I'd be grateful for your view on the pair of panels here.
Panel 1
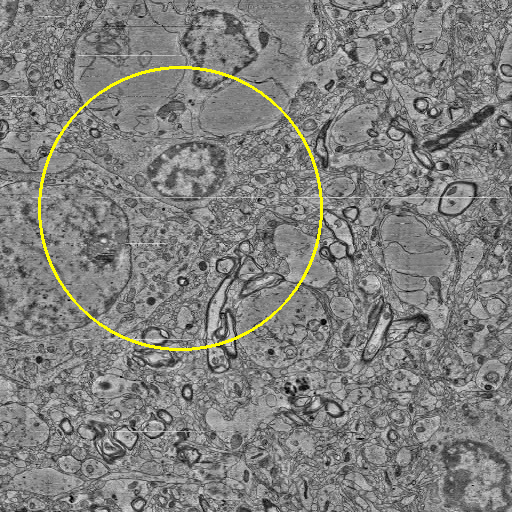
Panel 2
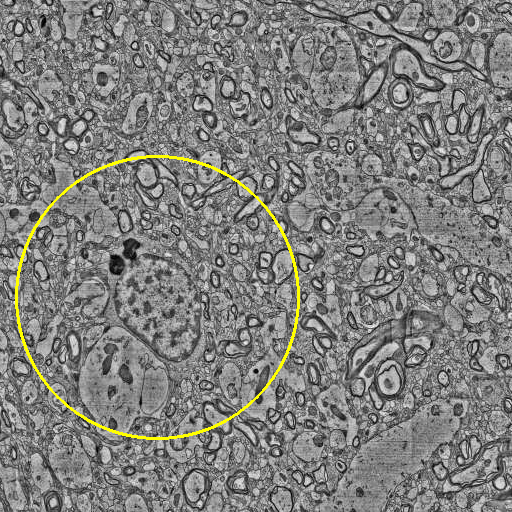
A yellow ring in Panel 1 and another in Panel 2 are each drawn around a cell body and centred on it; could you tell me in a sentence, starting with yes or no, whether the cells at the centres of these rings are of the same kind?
Yes, they are the same kind of cell.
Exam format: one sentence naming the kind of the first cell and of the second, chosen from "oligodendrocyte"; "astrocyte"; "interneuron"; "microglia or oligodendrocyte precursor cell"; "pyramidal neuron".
In both pictures the ring is centred on an oligodendrocyte.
